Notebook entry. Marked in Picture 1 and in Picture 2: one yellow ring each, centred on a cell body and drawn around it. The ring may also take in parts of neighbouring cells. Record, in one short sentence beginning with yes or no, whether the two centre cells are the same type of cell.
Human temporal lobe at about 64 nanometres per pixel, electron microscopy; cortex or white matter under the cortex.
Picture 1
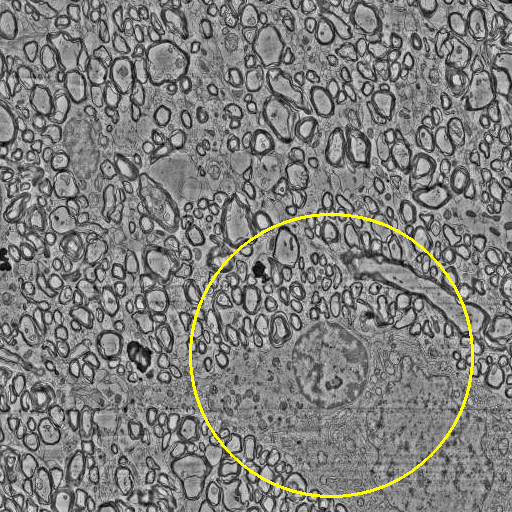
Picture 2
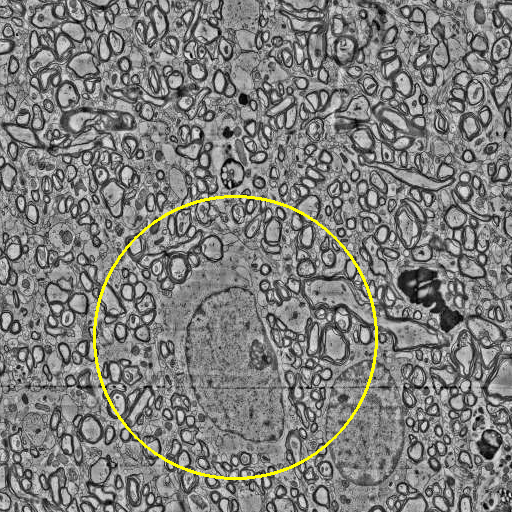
No, they are two types of cell.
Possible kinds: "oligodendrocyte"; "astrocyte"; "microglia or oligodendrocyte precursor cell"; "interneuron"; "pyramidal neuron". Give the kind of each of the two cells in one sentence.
The cell in the second picture is an astrocyte, and that in the first is an oligodendrocyte.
